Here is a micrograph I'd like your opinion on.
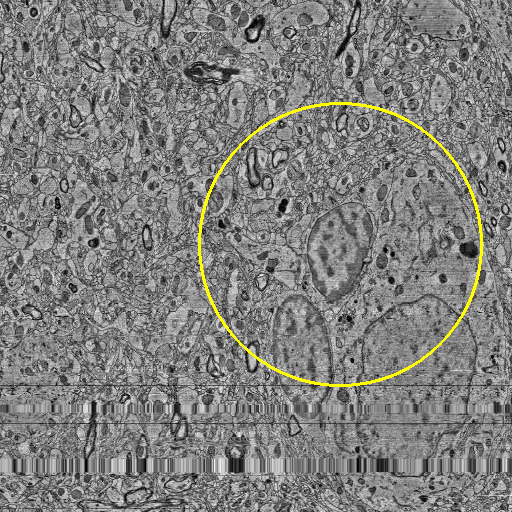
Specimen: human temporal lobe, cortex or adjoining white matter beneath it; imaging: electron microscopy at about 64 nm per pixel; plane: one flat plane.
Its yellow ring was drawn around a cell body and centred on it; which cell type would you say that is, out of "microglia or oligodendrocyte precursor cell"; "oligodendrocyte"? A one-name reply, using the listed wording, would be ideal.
microglia or oligodendrocyte precursor cell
